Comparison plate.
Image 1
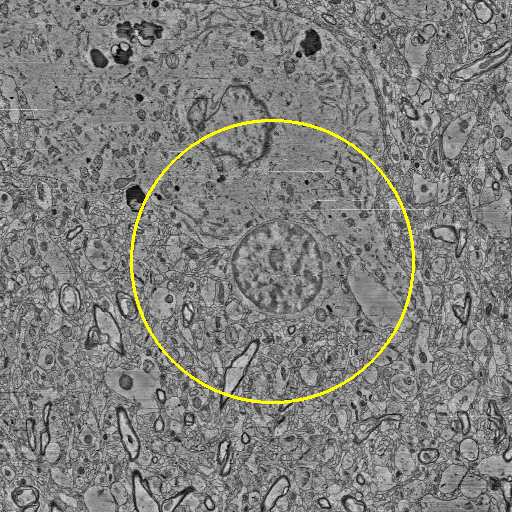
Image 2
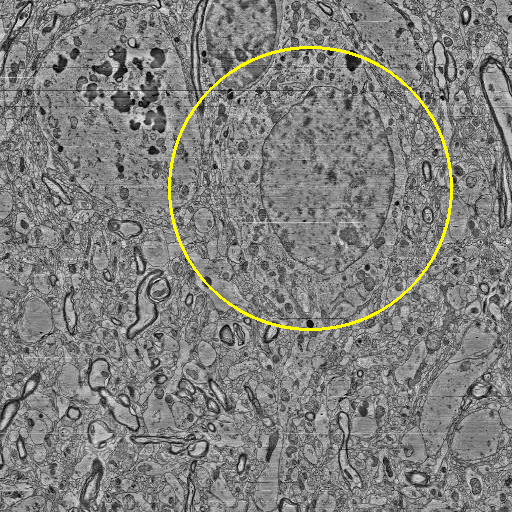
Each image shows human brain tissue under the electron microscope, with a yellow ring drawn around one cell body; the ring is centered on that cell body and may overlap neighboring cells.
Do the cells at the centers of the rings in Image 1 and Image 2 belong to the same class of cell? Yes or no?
no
